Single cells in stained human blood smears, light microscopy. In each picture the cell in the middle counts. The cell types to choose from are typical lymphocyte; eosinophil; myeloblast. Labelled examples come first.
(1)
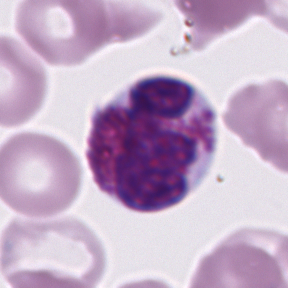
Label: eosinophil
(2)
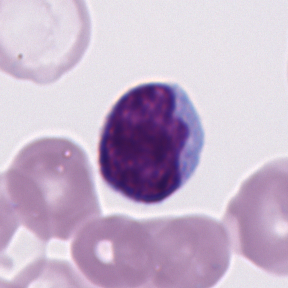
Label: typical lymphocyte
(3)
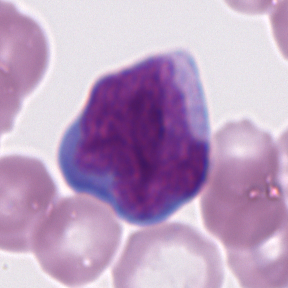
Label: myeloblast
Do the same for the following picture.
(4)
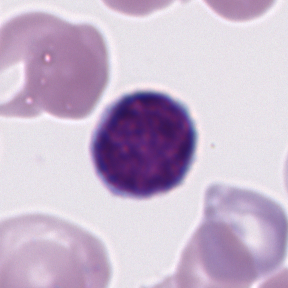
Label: typical lymphocyte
